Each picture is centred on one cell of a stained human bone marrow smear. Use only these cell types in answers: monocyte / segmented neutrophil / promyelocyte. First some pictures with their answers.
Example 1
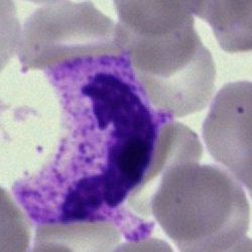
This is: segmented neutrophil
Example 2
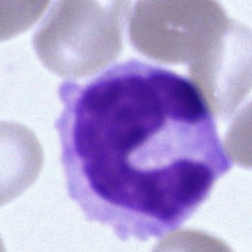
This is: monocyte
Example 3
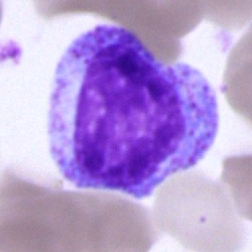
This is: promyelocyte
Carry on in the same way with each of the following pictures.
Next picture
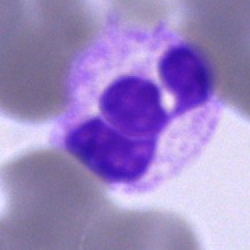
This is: segmented neutrophil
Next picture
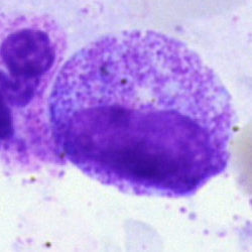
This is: promyelocyte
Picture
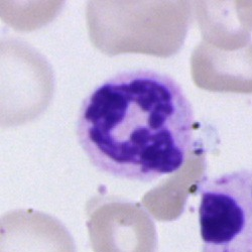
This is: segmented neutrophil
